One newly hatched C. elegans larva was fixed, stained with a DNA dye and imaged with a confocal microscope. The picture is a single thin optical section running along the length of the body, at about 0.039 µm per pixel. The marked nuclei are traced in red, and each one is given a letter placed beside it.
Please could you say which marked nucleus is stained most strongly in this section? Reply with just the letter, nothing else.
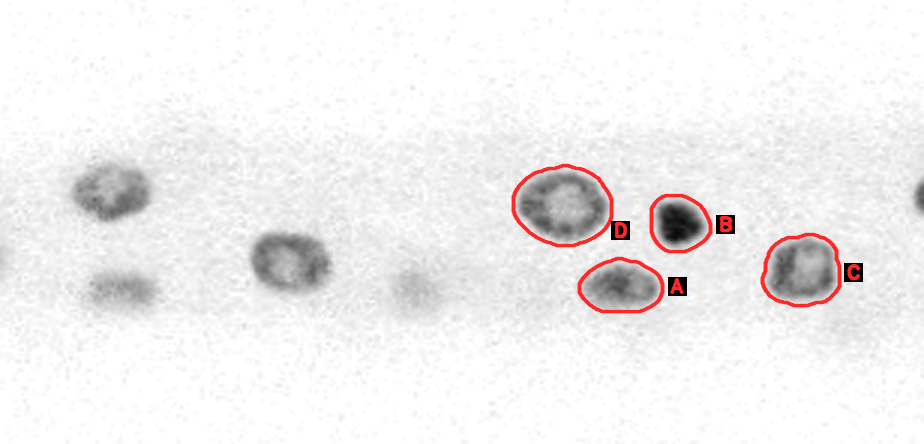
B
